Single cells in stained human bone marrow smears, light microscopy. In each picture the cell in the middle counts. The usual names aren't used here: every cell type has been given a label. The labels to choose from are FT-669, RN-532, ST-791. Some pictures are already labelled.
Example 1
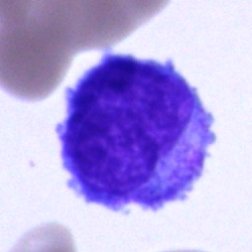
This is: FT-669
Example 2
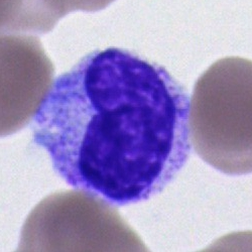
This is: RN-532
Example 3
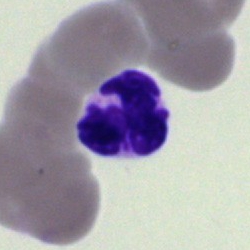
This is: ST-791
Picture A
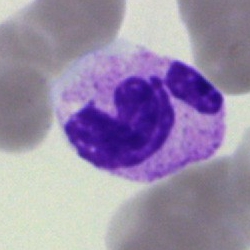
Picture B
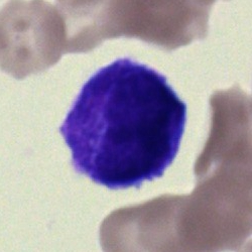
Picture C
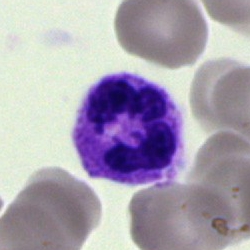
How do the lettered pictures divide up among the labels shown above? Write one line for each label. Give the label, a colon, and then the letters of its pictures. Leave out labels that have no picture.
FT-669: B
ST-791: A, C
